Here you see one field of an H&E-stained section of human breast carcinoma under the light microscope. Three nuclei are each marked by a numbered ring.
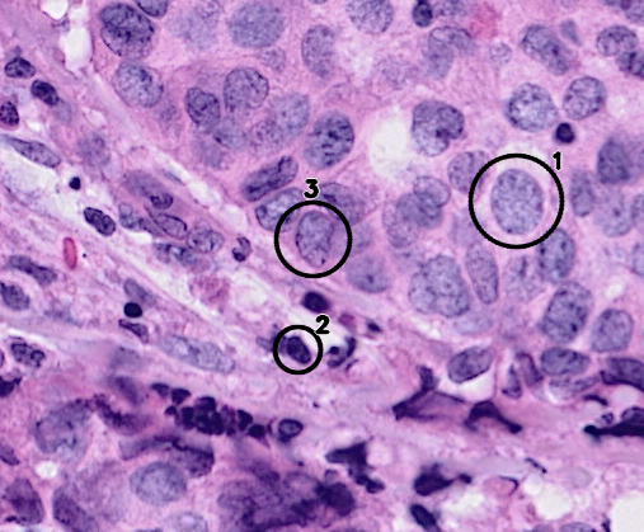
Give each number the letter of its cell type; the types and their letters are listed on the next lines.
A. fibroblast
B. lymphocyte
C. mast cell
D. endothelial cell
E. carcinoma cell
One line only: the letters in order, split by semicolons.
E; B; E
